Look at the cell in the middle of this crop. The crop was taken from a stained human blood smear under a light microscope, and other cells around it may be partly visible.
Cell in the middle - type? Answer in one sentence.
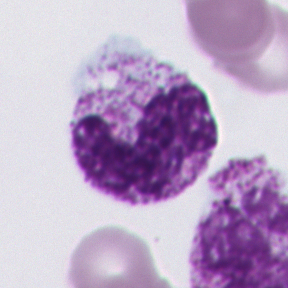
The middle of this crop holds a band neutrophil.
